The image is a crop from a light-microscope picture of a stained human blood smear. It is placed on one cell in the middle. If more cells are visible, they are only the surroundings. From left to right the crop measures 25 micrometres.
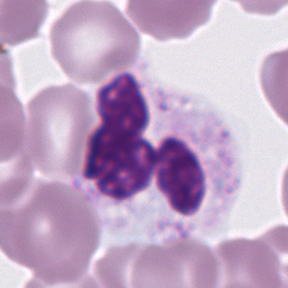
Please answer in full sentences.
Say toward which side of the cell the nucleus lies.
The nucleus sits off-centre, toward the upper left.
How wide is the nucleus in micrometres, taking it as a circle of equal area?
About 9 micrometres: that is the diameter of the nucleus.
